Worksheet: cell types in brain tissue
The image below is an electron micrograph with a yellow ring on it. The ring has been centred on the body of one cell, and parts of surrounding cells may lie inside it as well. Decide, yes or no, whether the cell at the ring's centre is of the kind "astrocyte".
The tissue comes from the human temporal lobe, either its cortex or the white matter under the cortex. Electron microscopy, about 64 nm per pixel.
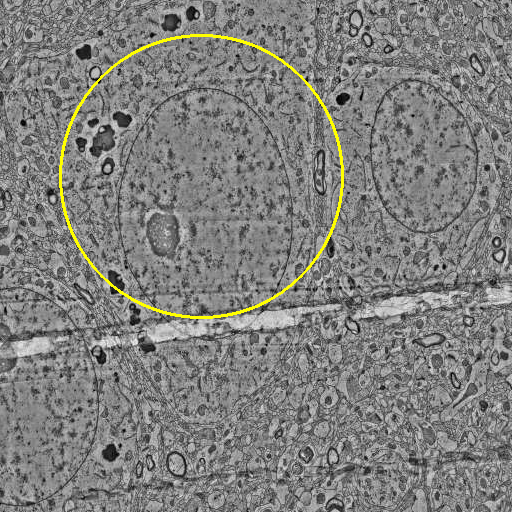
no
